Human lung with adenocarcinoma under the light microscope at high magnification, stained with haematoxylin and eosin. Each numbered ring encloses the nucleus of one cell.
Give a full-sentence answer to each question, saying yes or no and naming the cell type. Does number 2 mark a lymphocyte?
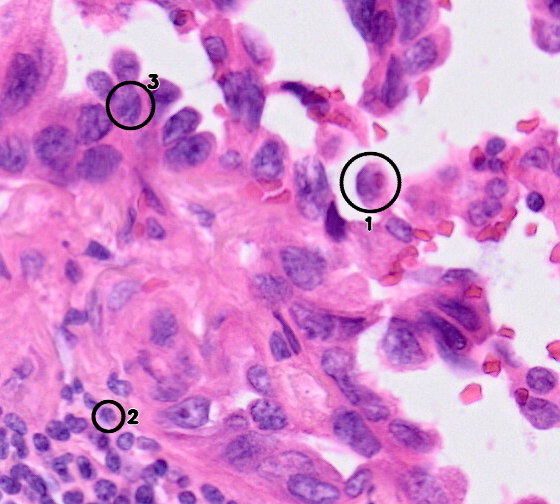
Yes, with respect to number 2, the cell is a lymphocyte.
